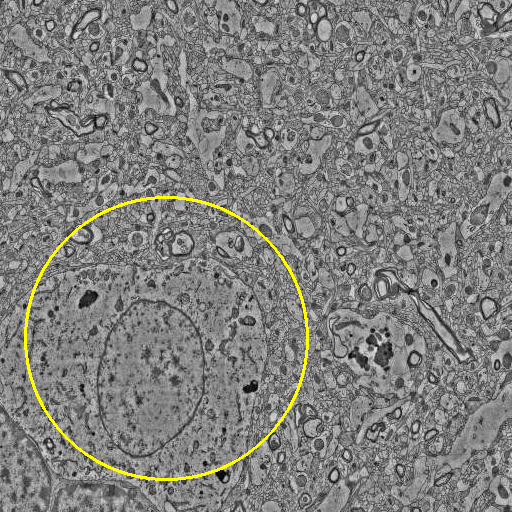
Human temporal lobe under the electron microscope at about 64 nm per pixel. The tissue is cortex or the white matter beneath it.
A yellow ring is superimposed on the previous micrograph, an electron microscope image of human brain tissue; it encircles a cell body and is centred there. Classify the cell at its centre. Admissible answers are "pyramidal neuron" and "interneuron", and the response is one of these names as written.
pyramidal neuron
